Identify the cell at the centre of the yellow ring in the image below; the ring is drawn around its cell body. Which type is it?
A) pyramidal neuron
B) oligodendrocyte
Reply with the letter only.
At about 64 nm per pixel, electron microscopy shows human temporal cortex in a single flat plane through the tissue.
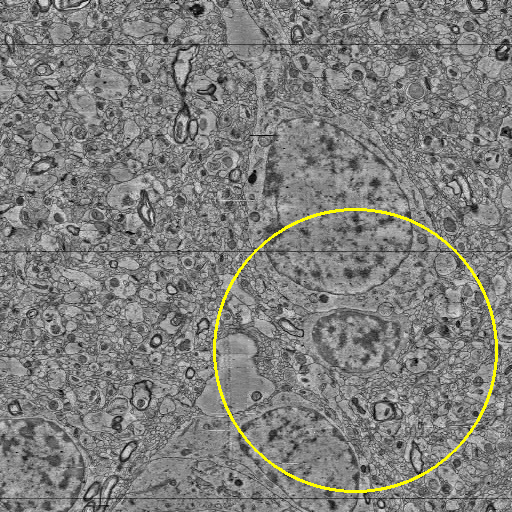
B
